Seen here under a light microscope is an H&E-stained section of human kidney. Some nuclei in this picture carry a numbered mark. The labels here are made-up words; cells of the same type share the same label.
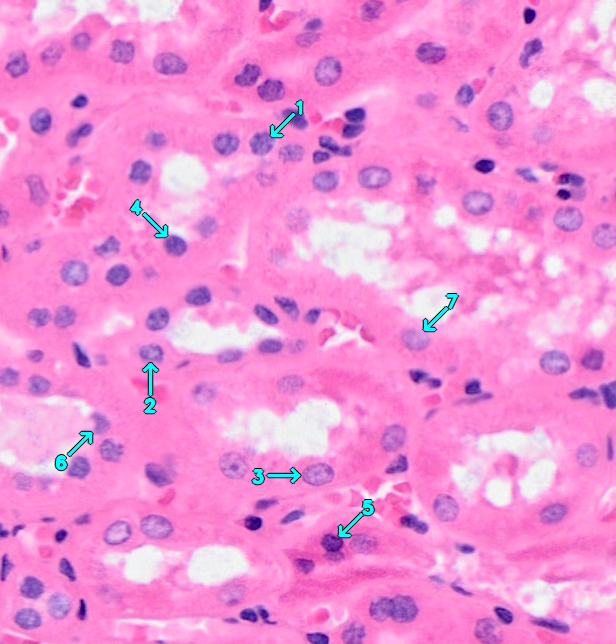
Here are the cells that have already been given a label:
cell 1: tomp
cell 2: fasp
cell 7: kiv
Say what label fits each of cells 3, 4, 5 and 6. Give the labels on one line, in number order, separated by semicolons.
kiv; tomp; kiv; tomp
